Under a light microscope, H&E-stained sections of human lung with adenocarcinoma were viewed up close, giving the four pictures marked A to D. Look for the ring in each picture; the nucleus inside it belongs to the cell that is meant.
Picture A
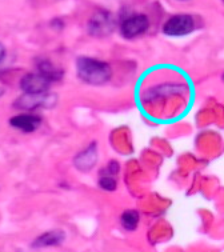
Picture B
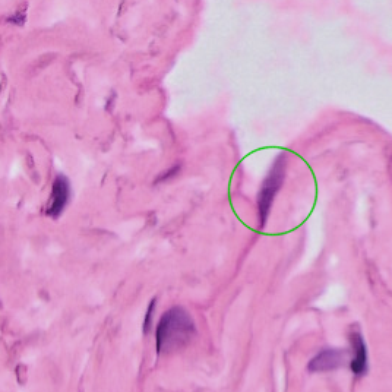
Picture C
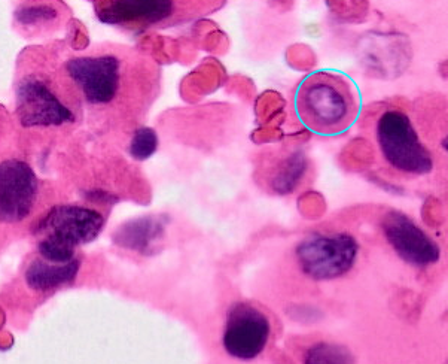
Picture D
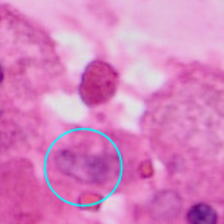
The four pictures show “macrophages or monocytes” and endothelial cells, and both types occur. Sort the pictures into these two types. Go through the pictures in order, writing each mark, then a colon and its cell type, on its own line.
A: endothelial cell
B: endothelial cell
C: macrophage or monocyte
D: macrophage or monocyte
